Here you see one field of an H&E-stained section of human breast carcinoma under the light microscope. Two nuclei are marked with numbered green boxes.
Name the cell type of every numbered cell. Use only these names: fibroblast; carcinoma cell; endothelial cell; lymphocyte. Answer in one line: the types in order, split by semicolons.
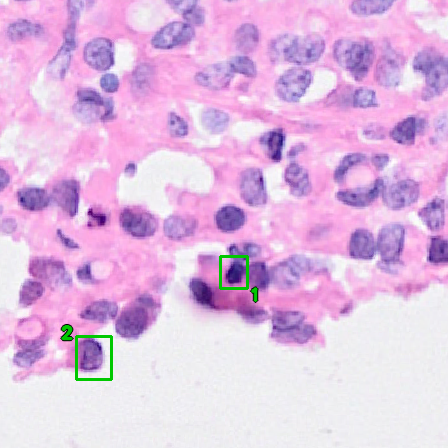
lymphocyte; carcinoma cell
